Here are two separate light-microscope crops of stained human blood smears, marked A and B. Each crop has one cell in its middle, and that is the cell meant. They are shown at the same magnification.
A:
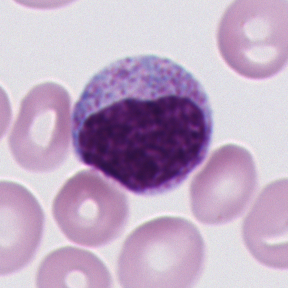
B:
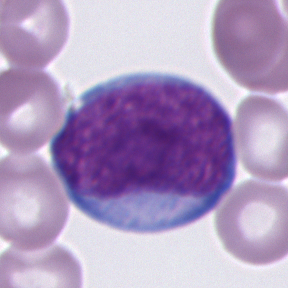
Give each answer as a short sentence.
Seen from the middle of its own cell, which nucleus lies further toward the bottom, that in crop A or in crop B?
The nucleus in crop A lies further toward the bottom of its cell.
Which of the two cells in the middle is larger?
Crop B holds the larger cell; it covers about 1.5 times the area of the cell in crop A.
